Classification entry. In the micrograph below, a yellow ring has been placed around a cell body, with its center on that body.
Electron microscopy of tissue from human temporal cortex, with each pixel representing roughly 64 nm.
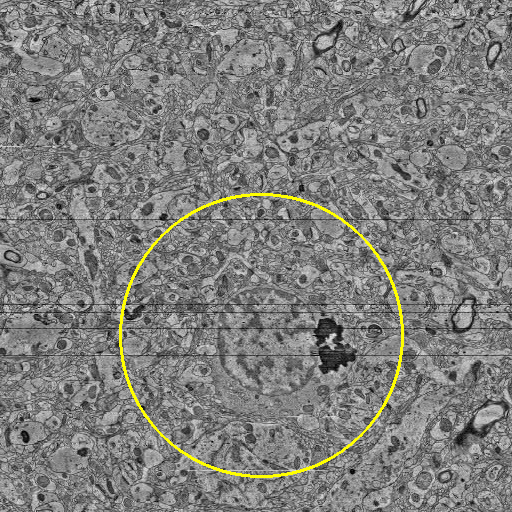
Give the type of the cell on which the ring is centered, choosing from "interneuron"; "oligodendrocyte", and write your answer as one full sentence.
The cell body at the center of the yellow ring belongs to an oligodendrocyte.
